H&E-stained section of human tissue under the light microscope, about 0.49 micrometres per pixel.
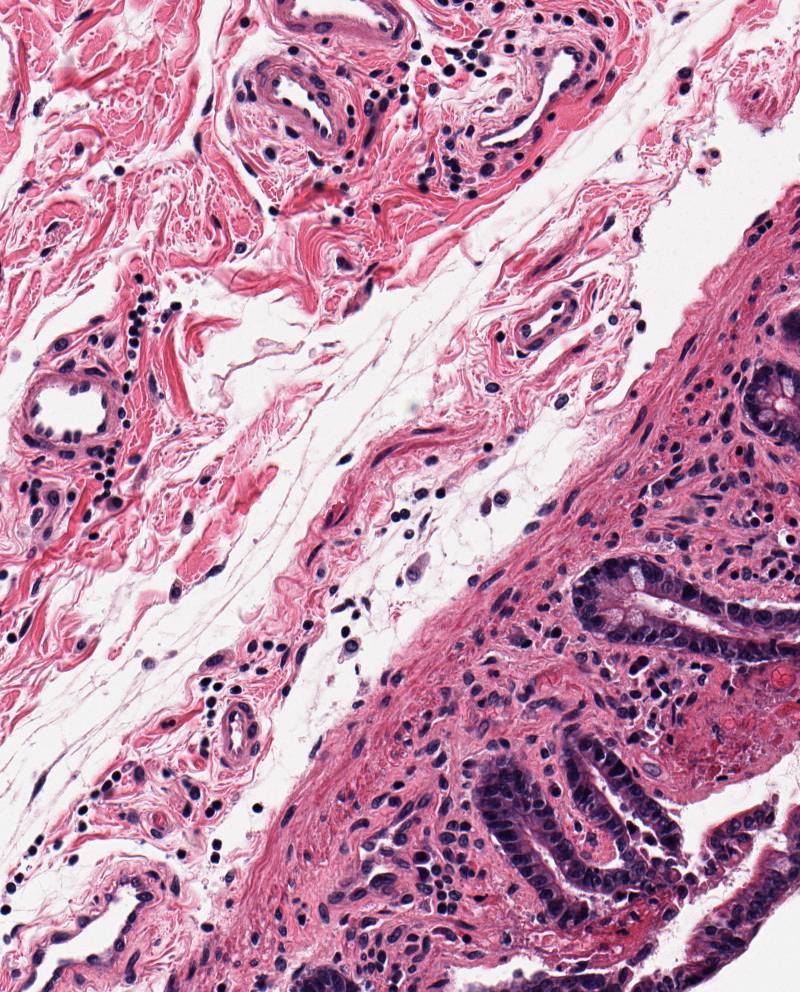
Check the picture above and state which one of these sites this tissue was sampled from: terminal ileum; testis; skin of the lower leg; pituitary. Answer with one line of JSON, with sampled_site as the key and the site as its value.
{"sampled_site": "terminal ileum"}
